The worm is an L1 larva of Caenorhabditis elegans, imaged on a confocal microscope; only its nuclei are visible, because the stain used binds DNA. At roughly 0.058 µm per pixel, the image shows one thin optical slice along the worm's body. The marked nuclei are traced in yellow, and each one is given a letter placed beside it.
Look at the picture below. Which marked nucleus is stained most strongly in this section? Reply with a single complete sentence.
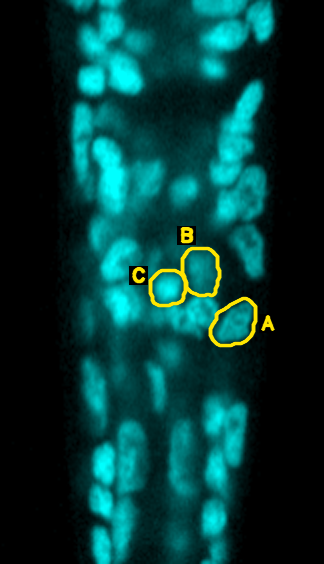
Of the marked nuclei, C takes up the stain most strongly.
